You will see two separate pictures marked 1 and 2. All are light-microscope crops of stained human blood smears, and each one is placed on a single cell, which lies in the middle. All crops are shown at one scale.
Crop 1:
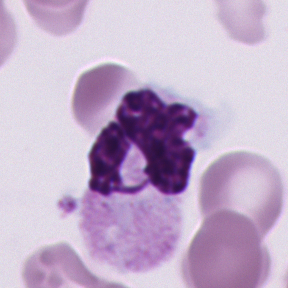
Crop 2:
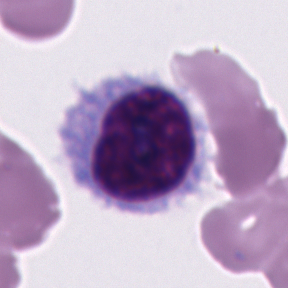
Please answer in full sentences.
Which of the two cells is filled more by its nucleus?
Of the two, the nucleus in crop 2 makes up the greater part of its cell.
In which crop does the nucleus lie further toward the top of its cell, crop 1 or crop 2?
Seen within its cell, the nucleus in crop 1 lies further toward the top.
